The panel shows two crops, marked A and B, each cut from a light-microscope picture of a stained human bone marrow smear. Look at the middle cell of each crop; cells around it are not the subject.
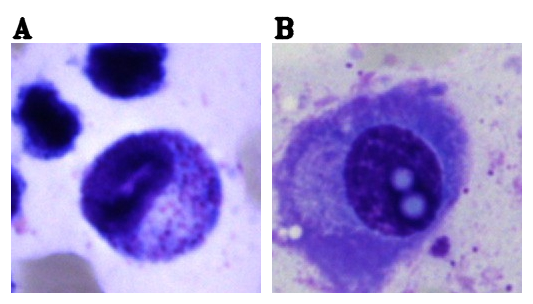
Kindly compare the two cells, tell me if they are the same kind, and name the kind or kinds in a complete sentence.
No, crop A is of a promyelocyte, and crop B is of a plasma cell.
